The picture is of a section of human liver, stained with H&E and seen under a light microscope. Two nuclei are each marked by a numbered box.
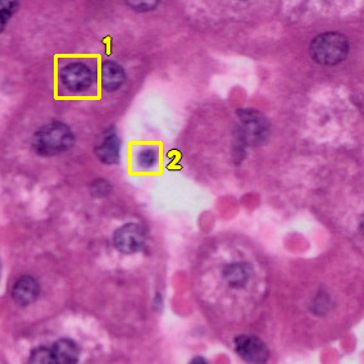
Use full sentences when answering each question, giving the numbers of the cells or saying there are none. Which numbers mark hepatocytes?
Only cell 1 is a hepatocyte; none of the other numbered cells is.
